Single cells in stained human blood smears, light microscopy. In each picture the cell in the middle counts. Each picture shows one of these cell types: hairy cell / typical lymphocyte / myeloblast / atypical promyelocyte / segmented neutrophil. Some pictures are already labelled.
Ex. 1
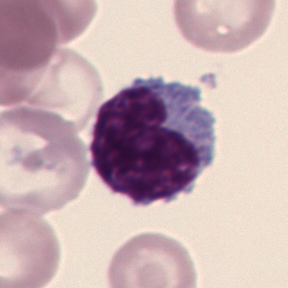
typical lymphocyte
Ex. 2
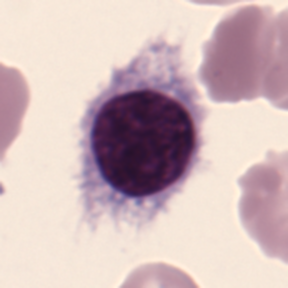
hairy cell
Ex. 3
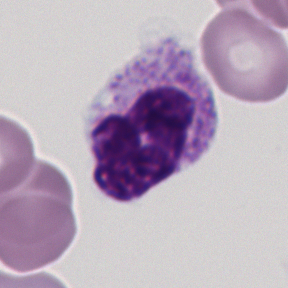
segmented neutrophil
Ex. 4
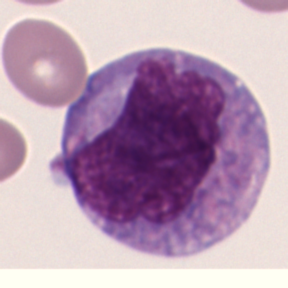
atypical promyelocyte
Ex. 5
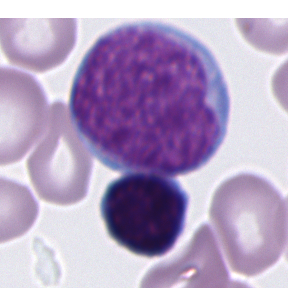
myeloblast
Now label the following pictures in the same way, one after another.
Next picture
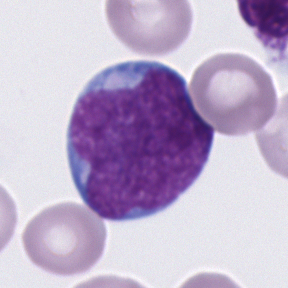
myeloblast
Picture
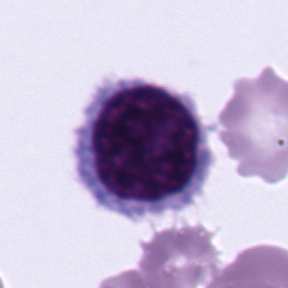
hairy cell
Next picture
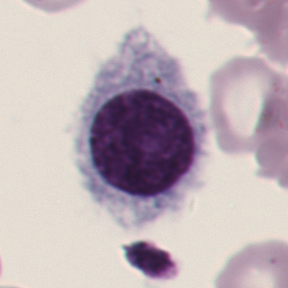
hairy cell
